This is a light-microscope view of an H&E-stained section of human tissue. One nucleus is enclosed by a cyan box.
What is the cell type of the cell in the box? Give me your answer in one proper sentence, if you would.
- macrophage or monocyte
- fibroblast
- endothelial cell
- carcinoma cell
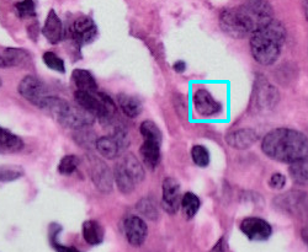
In the tissue under study, the cell in the box is a macrophage or monocyte.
